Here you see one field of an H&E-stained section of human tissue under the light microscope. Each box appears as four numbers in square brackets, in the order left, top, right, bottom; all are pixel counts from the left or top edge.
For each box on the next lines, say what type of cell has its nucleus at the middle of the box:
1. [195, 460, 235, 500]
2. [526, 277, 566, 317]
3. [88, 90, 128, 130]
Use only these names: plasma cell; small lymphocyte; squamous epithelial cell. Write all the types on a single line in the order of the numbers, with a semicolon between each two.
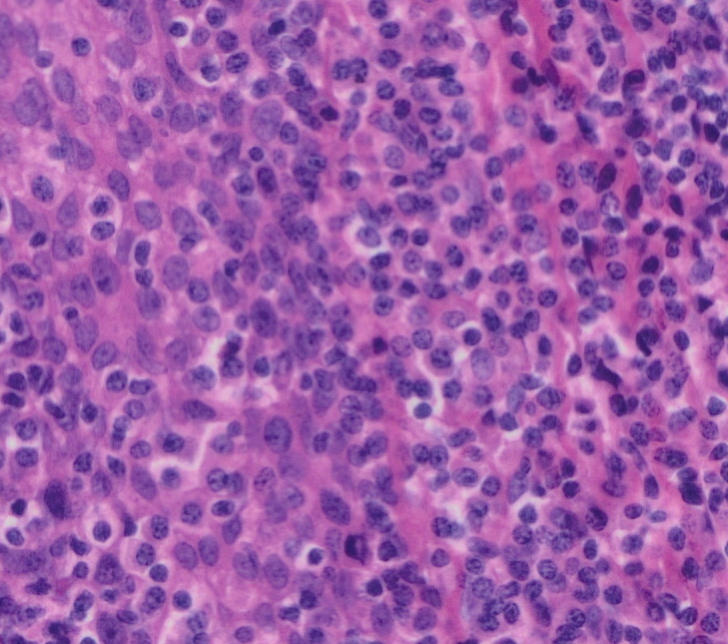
plasma cell; plasma cell; squamous epithelial cell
